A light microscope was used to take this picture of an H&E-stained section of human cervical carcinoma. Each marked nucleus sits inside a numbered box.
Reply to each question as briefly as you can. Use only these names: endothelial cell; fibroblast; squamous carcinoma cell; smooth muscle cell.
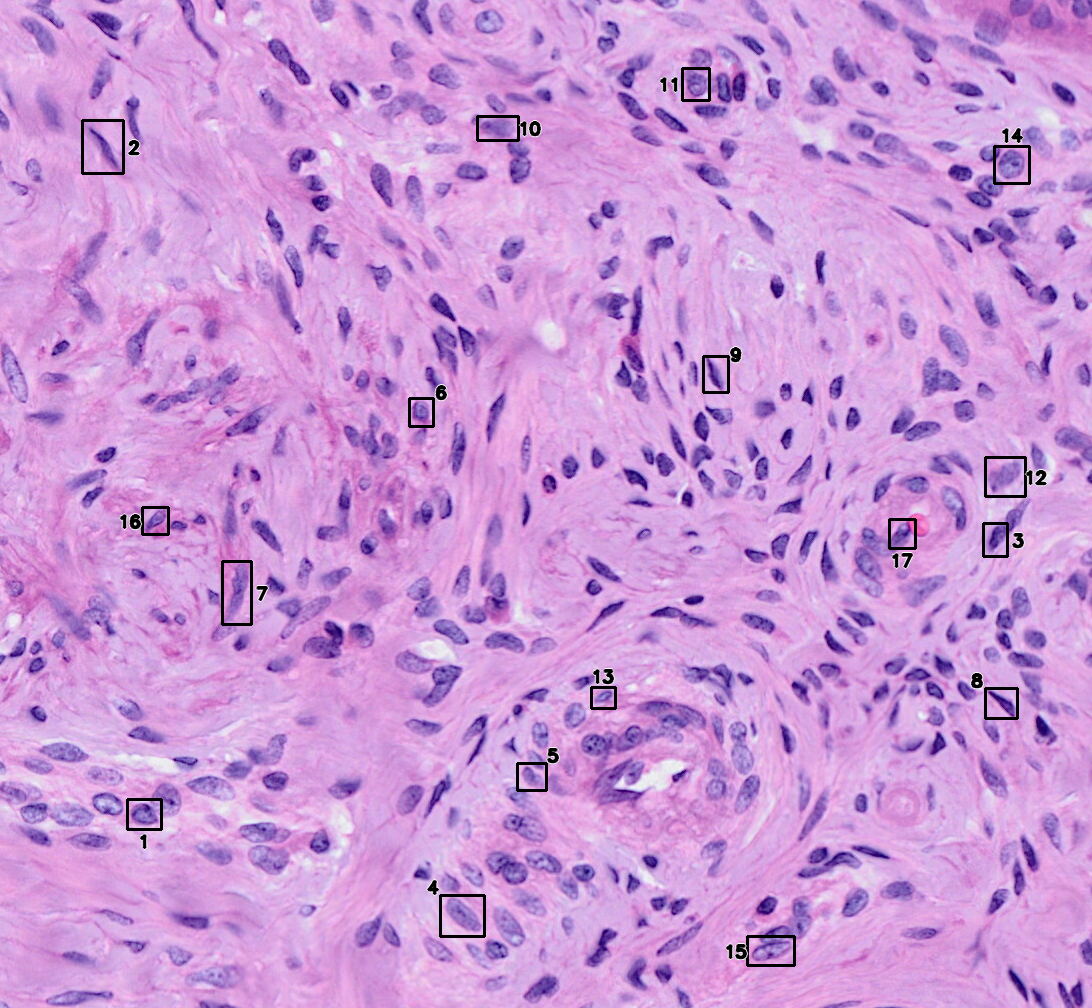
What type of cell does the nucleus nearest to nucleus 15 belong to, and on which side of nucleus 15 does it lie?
an endothelial cell, above nucleus 15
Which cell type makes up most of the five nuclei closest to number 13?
smooth muscle cell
